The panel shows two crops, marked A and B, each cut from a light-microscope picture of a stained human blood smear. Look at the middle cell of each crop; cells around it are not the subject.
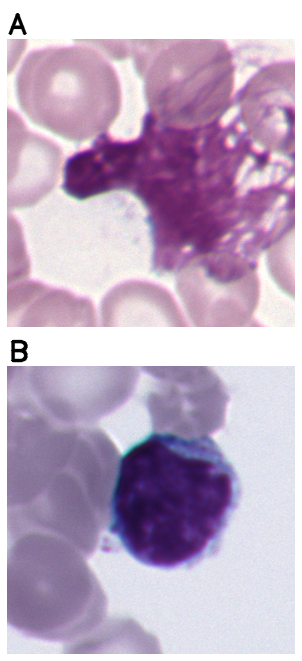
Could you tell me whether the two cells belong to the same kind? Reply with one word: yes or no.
no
